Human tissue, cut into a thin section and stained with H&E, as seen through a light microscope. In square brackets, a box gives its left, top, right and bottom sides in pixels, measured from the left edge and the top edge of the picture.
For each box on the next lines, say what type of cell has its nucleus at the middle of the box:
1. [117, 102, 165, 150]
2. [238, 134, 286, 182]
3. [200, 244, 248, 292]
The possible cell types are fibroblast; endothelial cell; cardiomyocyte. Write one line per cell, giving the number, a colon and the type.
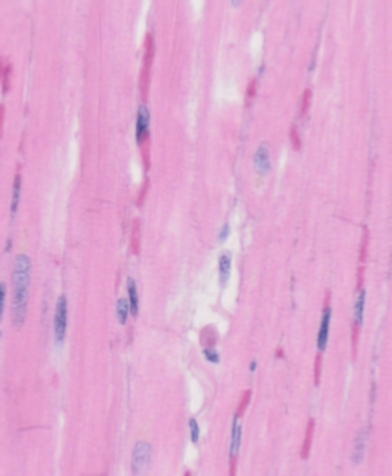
1: endothelial cell
2: cardiomyocyte
3: fibroblast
